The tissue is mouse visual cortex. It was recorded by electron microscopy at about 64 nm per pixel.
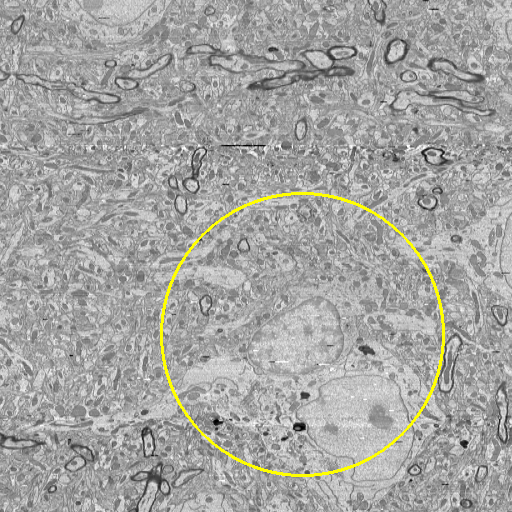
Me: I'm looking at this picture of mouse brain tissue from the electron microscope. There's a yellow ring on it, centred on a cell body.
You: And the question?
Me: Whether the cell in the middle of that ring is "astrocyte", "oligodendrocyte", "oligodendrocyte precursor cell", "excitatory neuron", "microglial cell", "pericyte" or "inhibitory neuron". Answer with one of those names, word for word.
oligodendrocyte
